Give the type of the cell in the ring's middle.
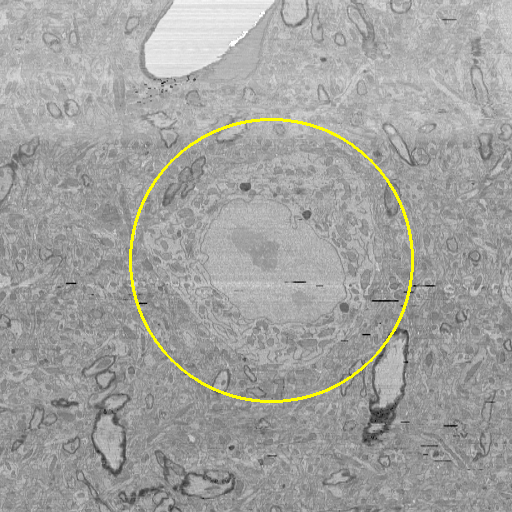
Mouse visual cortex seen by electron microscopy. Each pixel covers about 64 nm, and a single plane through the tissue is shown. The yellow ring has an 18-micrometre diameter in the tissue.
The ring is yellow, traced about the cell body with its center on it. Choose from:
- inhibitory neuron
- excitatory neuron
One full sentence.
Here, an inhibitory neuron is the cell lying at the center of the yellow ring.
